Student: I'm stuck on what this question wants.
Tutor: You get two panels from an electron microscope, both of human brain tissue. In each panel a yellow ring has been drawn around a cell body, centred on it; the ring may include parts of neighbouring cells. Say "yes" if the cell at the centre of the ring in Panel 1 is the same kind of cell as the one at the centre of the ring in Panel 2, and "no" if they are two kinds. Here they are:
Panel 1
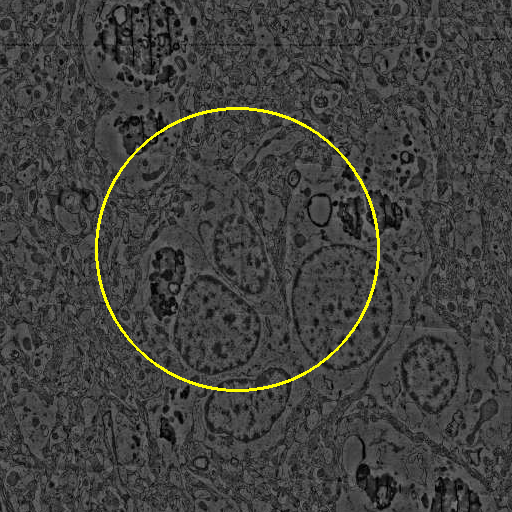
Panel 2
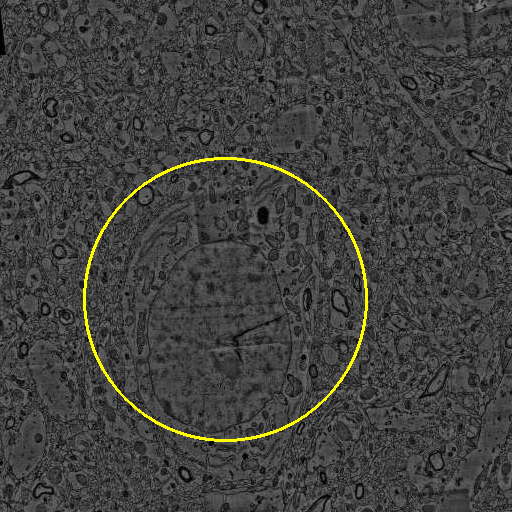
no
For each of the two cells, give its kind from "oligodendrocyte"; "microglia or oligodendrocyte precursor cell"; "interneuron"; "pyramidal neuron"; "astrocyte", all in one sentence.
The first picture has an astrocyte in its ring, the second has an interneuron.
